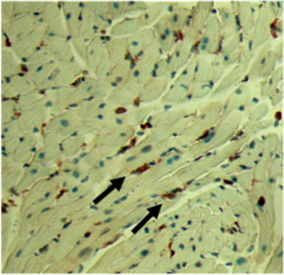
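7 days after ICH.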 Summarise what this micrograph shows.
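This is heart muscle in longitudinal section, with long, roughly parallel cardiac muscle fibres on a pale yellowish background. Elongated blue-green nuclei lie within and between the fibres. Numerous small brown-stained cells, many of them elongated, sit in the narrow interstitial spaces between fibres, some lying close together in short rows.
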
